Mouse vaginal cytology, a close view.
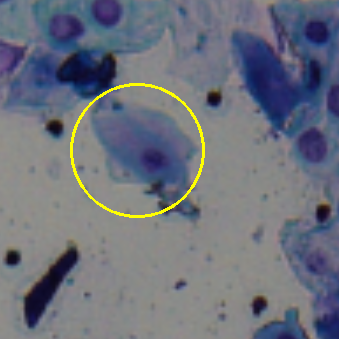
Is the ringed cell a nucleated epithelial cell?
Yes, it is a nucleated epithelial cell.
